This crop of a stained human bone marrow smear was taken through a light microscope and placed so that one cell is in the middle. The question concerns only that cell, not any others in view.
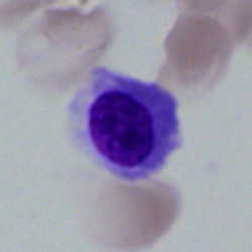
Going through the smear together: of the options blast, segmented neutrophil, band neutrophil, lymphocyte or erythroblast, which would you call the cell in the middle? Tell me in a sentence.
The crop's centre is taken up by an erythroblast.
